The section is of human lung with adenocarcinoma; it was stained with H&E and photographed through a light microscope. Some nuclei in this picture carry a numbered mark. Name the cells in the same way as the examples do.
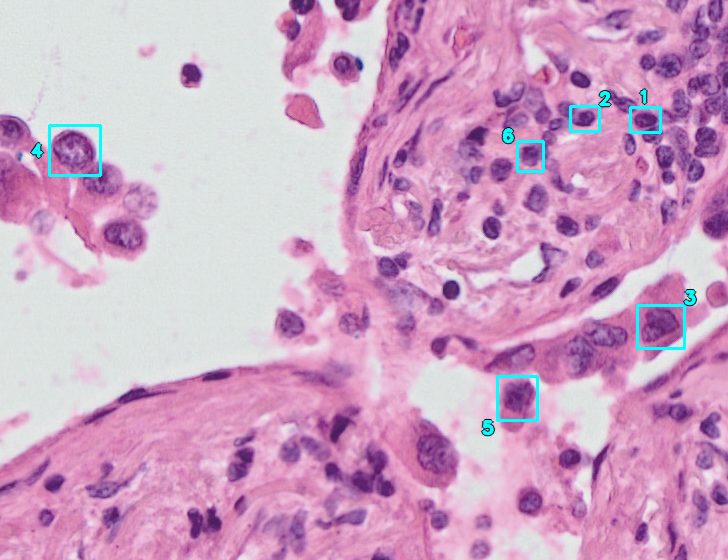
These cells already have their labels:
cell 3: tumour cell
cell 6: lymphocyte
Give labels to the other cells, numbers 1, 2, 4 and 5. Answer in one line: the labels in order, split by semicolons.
lymphocyte; lymphocyte; tumour cell; tumour cell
